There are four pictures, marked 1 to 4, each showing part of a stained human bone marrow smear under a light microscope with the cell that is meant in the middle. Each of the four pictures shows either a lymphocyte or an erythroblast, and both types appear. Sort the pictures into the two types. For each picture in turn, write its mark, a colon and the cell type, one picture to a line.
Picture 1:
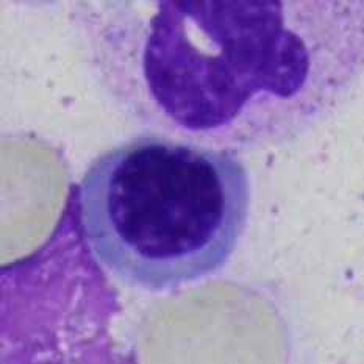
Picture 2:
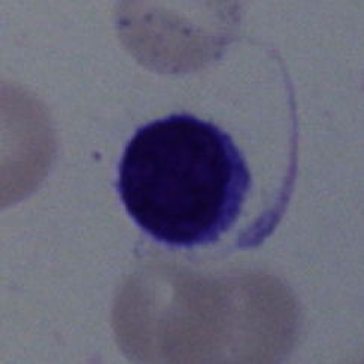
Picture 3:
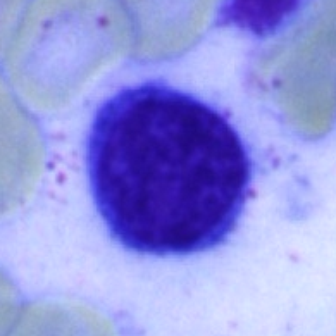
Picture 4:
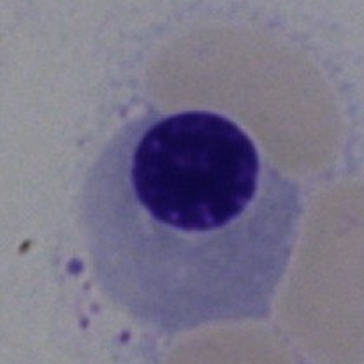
1: erythroblast
2: lymphocyte
3: lymphocyte
4: erythroblast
